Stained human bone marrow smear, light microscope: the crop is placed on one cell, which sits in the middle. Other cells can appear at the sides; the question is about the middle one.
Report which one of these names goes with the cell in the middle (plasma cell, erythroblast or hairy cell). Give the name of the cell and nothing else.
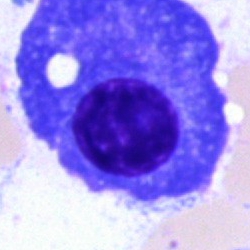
plasma cell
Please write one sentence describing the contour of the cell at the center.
The cell outline lacks smoothness, being ragged or extended into projections.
